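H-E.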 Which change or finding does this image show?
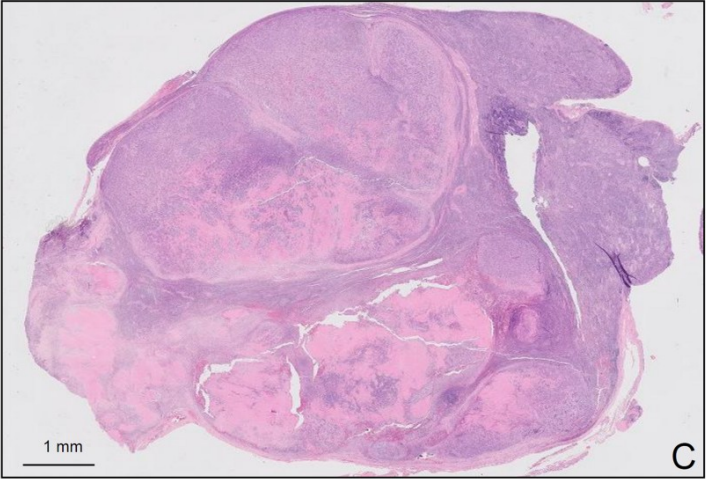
effacement of lymph node architecture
